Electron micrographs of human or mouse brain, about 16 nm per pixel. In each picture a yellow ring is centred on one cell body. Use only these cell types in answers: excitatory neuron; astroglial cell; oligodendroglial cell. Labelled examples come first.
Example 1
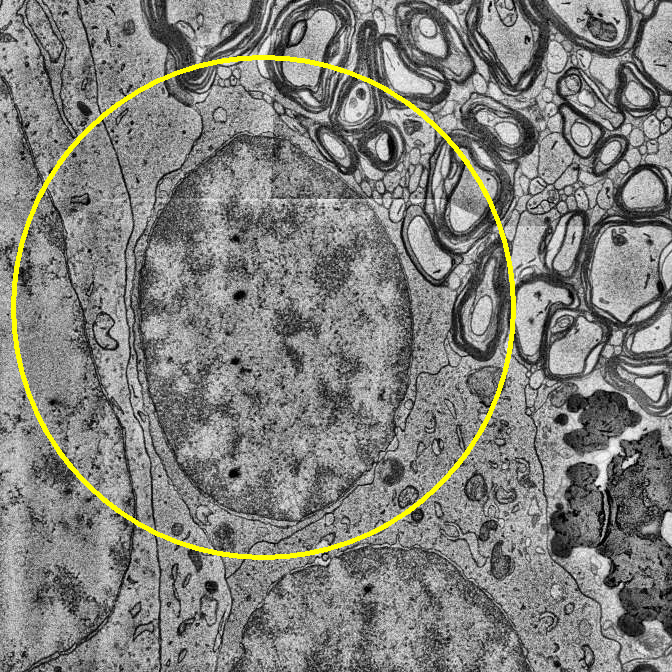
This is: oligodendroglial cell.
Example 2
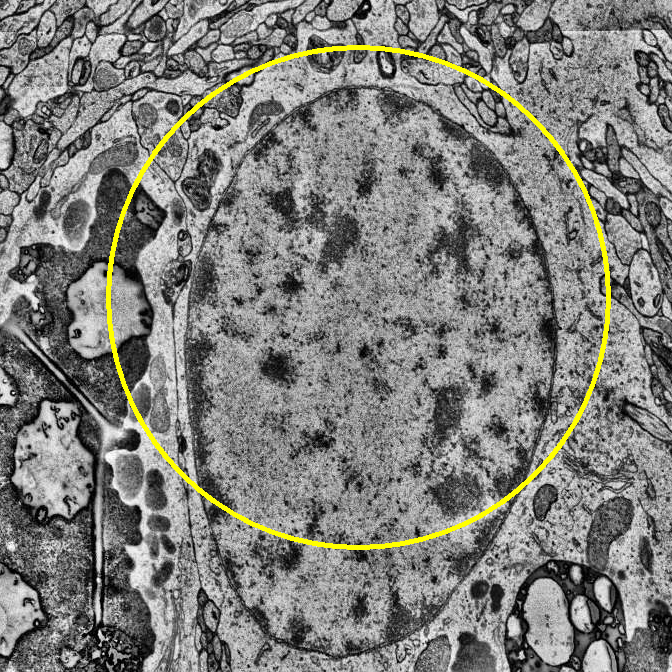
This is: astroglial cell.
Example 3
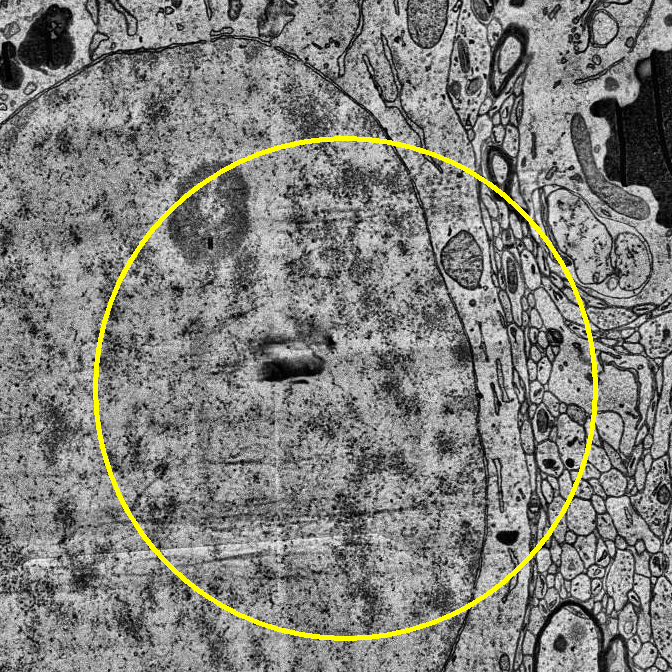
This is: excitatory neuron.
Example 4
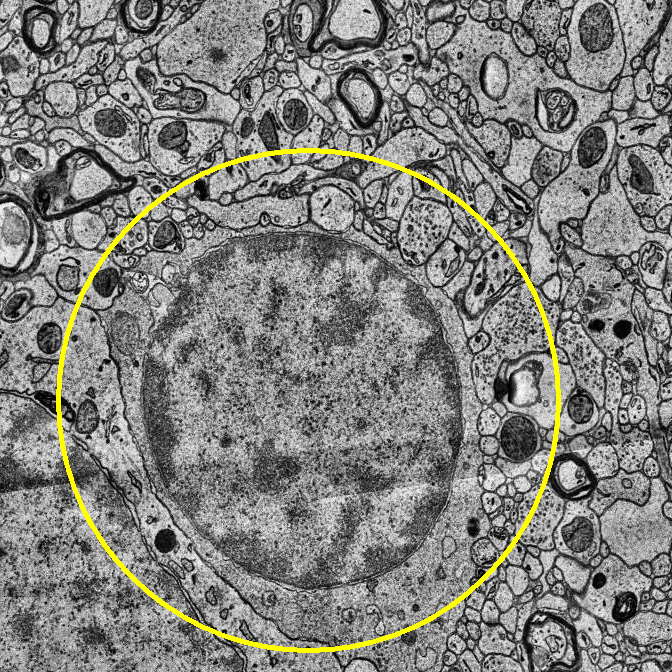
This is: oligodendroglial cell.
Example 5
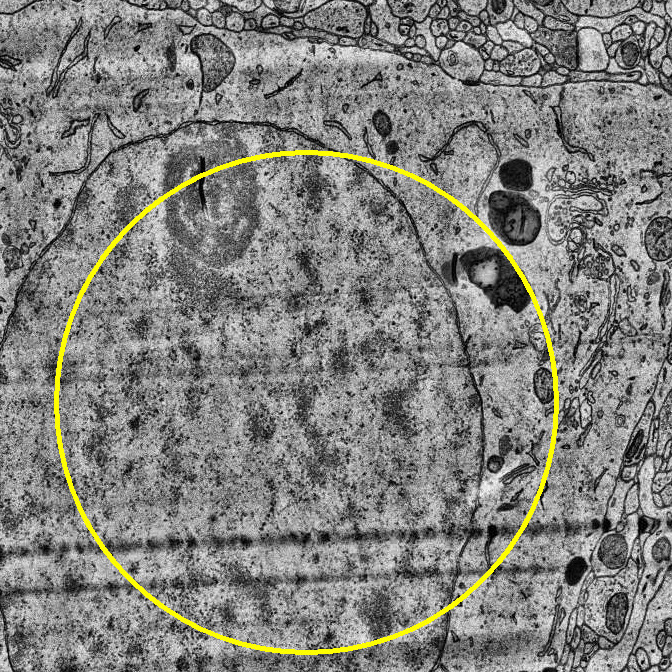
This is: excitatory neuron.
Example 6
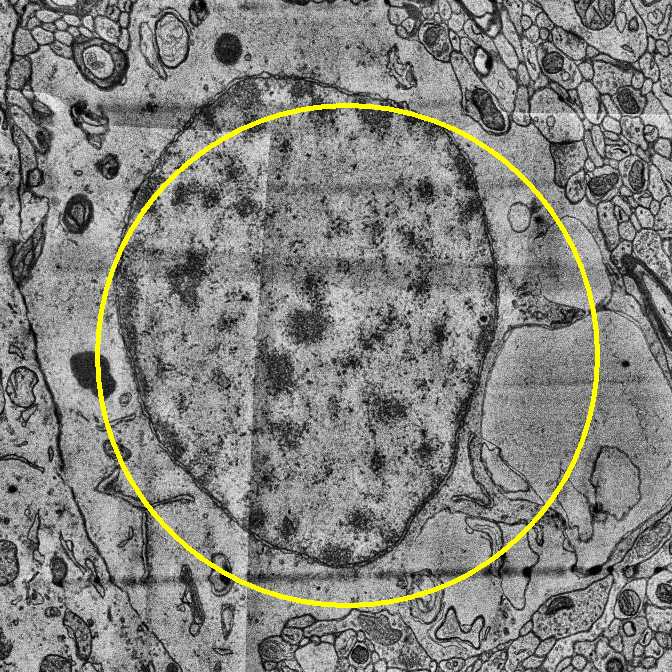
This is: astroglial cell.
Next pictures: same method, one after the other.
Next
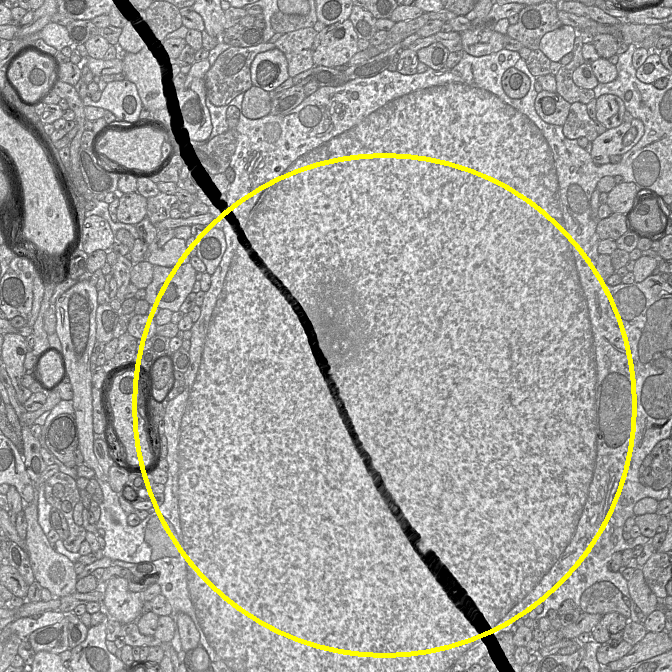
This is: astroglial cell.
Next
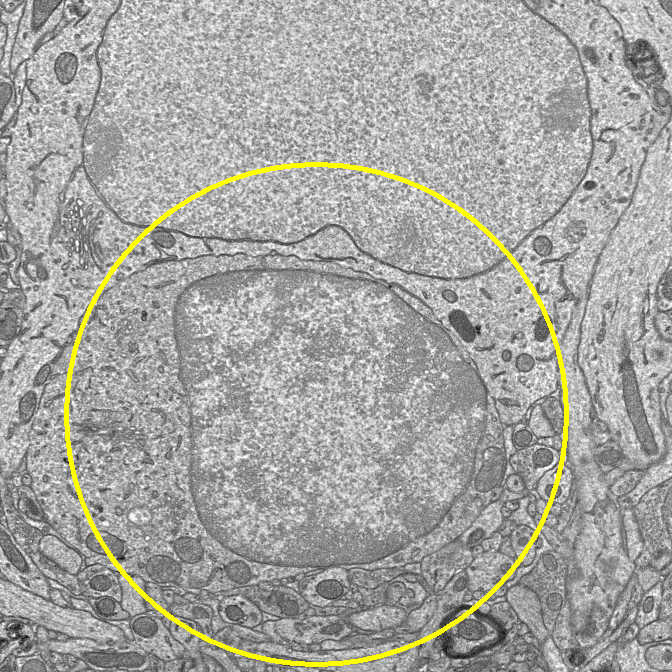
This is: oligodendroglial cell.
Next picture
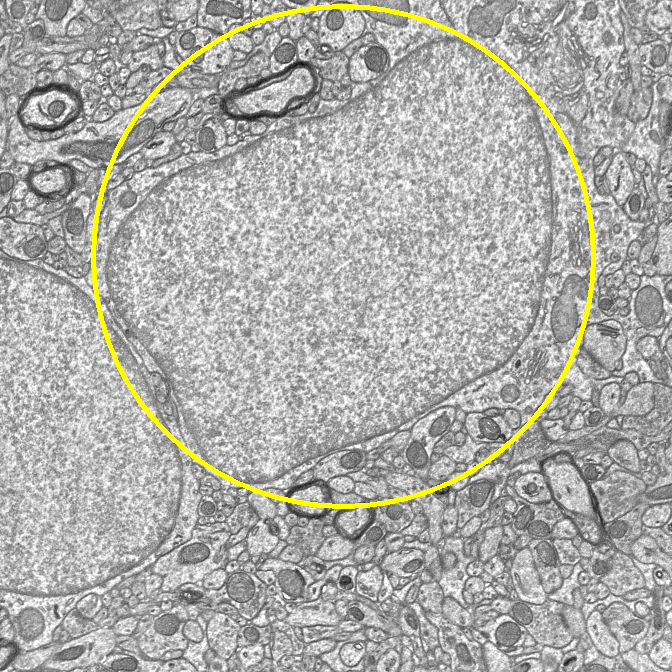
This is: astroglial cell.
